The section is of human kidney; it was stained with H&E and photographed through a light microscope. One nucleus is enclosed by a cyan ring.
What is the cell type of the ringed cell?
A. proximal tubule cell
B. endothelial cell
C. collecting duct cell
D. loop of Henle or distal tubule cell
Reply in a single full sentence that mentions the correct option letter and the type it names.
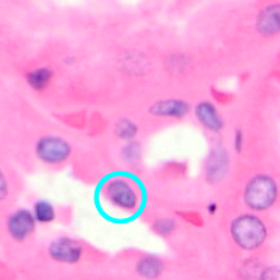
It is correct to say that the ringed cell is a loop of Henle or distal tubule cell, as option D does.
